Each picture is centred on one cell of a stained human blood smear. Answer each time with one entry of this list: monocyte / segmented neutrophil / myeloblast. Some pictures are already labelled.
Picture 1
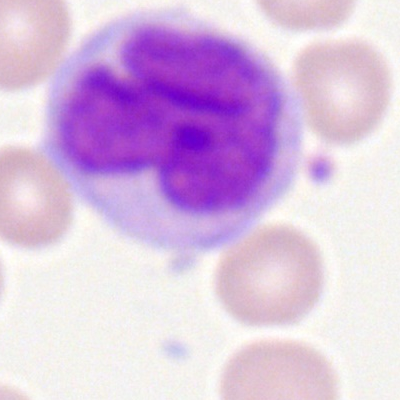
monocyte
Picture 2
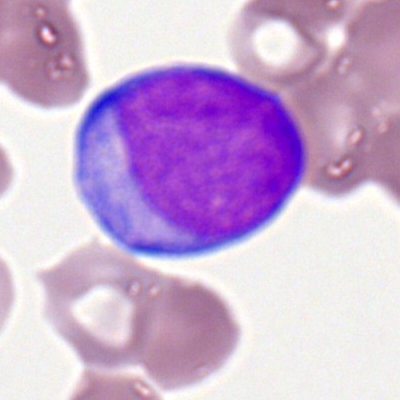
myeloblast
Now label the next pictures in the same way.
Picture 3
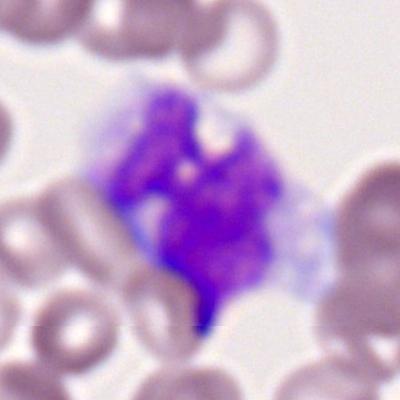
monocyte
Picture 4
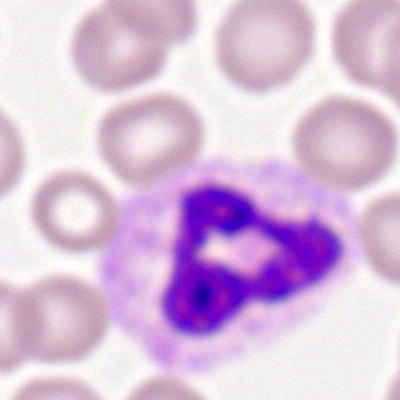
segmented neutrophil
